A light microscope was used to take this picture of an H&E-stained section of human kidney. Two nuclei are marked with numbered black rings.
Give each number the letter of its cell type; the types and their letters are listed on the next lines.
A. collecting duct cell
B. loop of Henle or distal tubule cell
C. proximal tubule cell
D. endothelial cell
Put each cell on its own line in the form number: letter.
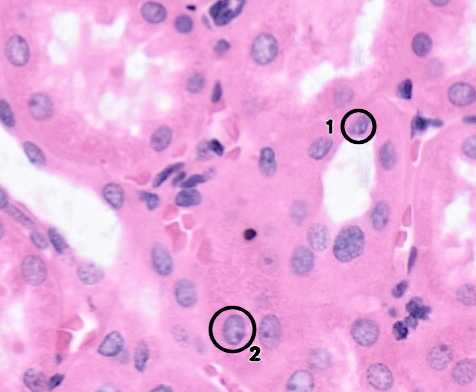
1: B
2: C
